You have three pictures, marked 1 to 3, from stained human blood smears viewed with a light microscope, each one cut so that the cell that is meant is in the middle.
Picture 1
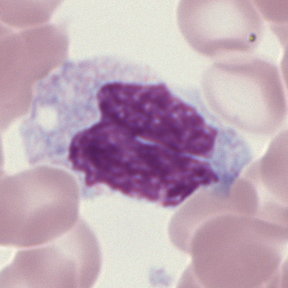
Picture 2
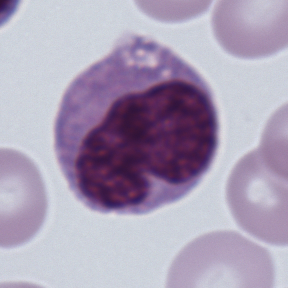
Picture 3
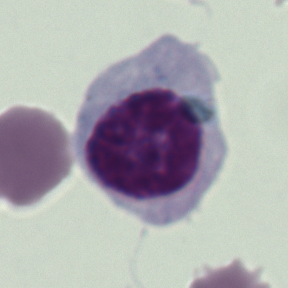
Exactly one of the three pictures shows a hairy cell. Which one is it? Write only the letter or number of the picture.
3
